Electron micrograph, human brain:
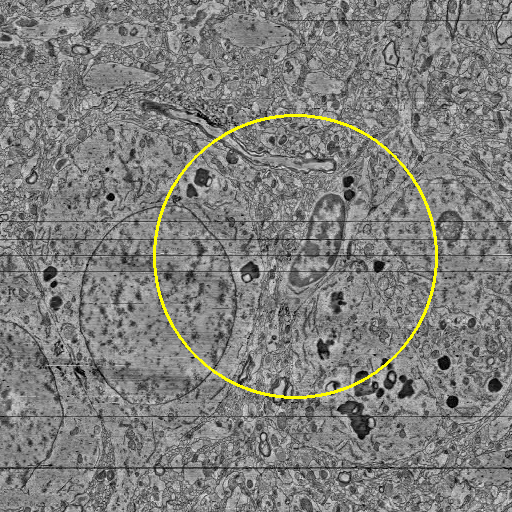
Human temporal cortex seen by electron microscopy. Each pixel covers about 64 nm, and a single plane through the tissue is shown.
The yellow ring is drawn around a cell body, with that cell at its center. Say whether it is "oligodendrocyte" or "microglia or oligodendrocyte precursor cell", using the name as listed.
microglia or oligodendrocyte precursor cell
